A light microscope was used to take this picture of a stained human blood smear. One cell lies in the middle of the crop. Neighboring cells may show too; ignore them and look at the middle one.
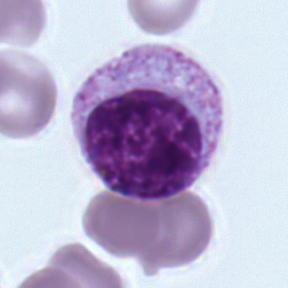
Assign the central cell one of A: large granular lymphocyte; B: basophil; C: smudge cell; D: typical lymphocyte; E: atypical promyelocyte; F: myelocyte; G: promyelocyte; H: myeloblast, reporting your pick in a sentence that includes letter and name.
Option F is the right one, for the cell in the middle is a myelocyte.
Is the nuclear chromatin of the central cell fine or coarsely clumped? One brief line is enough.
Heads up, the chromatin in this one is coarsely clumped.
